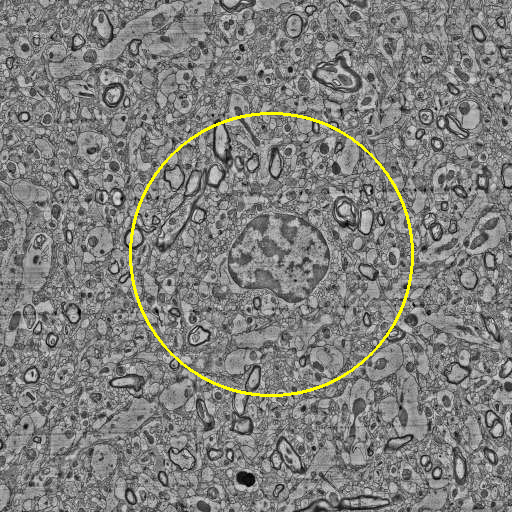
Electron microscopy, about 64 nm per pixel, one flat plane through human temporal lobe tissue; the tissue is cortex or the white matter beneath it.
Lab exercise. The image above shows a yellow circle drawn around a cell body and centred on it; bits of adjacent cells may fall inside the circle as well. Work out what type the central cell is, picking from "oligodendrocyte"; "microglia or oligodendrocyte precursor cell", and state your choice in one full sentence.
In the image above, the cell at the centre of the yellow circle is a microglial cell or oligodendrocyte precursor cell.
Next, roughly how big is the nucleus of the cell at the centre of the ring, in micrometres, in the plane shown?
About 6 micrometres across in this plane.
